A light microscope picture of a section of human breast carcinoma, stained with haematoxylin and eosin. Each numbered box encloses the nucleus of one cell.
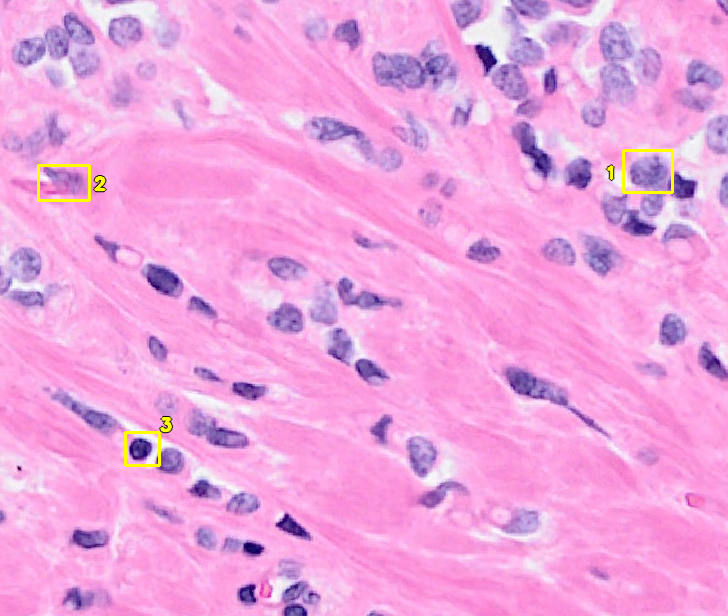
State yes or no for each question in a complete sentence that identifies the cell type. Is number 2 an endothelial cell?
Yes, the cell numbered 2 in this tissue is an endothelial cell.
